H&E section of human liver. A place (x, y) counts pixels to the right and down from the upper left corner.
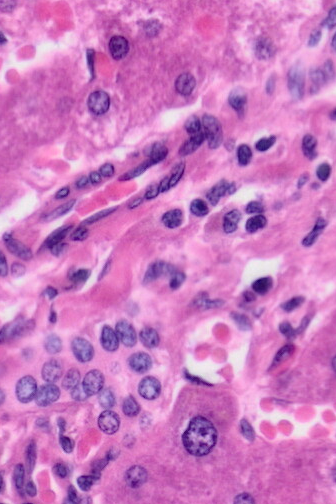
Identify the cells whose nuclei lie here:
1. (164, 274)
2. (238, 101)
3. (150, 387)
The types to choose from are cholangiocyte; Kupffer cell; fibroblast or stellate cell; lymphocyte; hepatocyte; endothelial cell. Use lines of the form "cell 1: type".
cell 1: fibroblast or stellate cell
cell 2: fibroblast or stellate cell
cell 3: cholangiocyte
